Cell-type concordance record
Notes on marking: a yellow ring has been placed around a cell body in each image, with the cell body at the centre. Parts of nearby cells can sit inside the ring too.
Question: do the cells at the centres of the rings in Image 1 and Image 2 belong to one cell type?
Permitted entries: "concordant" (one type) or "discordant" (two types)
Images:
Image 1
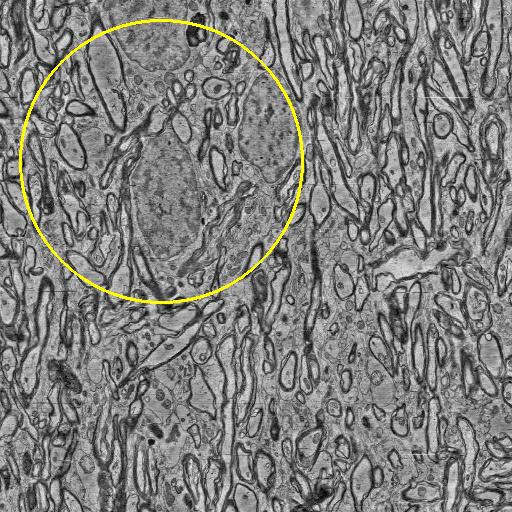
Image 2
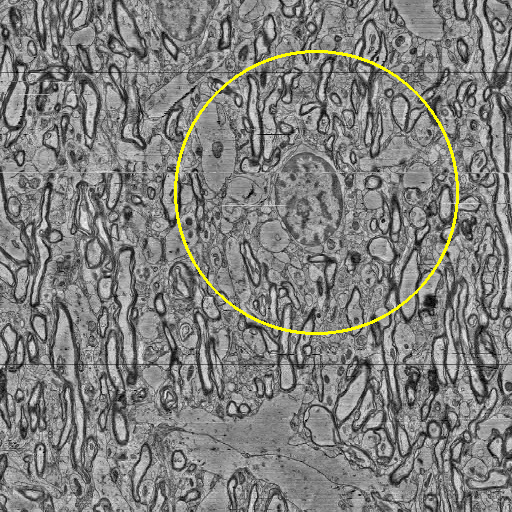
discordant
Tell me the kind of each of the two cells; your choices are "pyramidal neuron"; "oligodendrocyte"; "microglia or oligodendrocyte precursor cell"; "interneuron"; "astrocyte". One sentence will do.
The ringed cell is an oligodendrocyte in the first picture and a microglial cell or oligodendrocyte precursor cell in the second picture.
